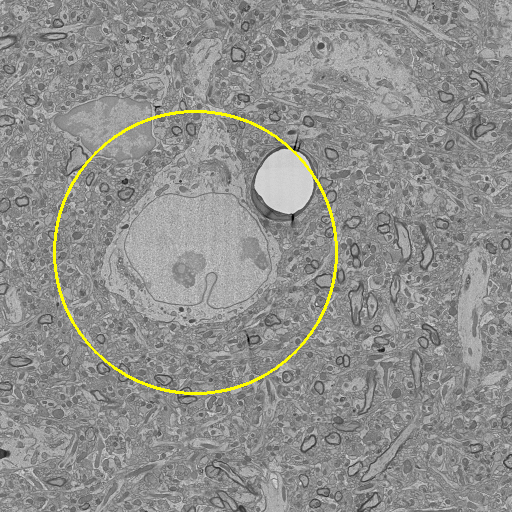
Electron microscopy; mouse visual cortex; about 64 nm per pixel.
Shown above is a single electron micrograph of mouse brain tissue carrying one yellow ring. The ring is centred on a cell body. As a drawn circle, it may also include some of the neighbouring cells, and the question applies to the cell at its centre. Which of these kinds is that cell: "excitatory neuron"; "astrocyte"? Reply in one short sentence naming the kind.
The cell marked by the ring is an excitatory neuron.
